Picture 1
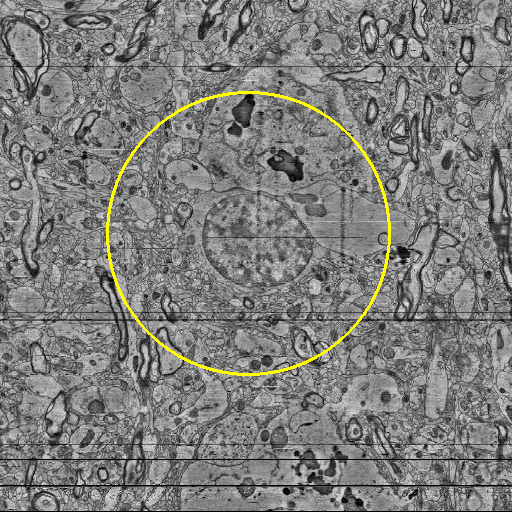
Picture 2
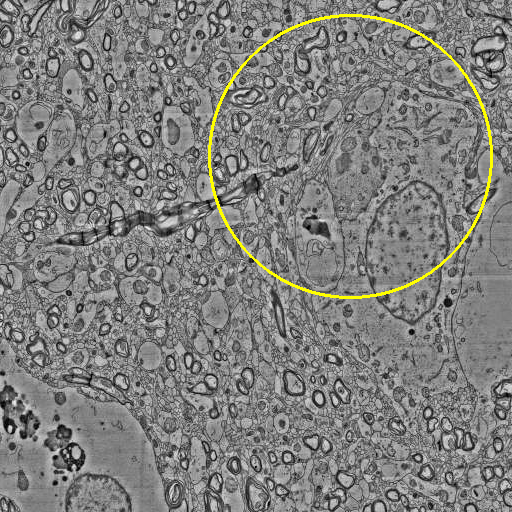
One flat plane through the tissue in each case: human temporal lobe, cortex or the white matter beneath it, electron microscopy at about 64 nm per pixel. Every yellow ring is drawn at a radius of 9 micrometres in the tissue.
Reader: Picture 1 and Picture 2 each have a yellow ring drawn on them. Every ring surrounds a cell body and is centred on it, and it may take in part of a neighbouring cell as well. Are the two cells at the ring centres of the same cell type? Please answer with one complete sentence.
Yes, both cells are of the same cell type.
